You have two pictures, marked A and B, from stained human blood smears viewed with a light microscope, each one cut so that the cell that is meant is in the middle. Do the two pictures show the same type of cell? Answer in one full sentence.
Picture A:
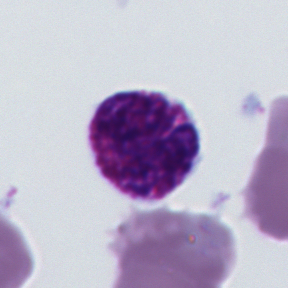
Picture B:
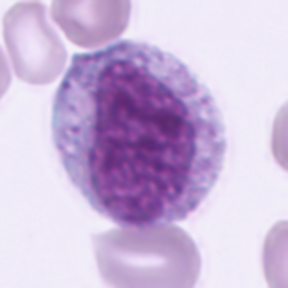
No, they differ: the cell is an eosinophil in picture A and a myelocyte in picture B.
